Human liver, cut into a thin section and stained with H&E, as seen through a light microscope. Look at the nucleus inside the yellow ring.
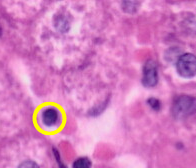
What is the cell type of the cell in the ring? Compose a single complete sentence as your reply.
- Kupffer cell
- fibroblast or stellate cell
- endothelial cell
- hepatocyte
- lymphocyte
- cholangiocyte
Students should answer that the cell in the ring is a lymphocyte.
